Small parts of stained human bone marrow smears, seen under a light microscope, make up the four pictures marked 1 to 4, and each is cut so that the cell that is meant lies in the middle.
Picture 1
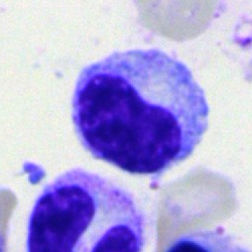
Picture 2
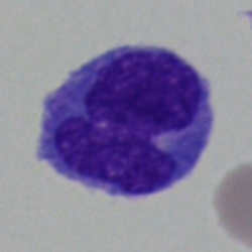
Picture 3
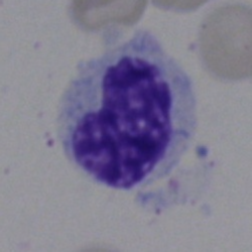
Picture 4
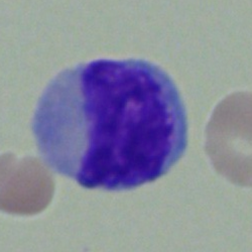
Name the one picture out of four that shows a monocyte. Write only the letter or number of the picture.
2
